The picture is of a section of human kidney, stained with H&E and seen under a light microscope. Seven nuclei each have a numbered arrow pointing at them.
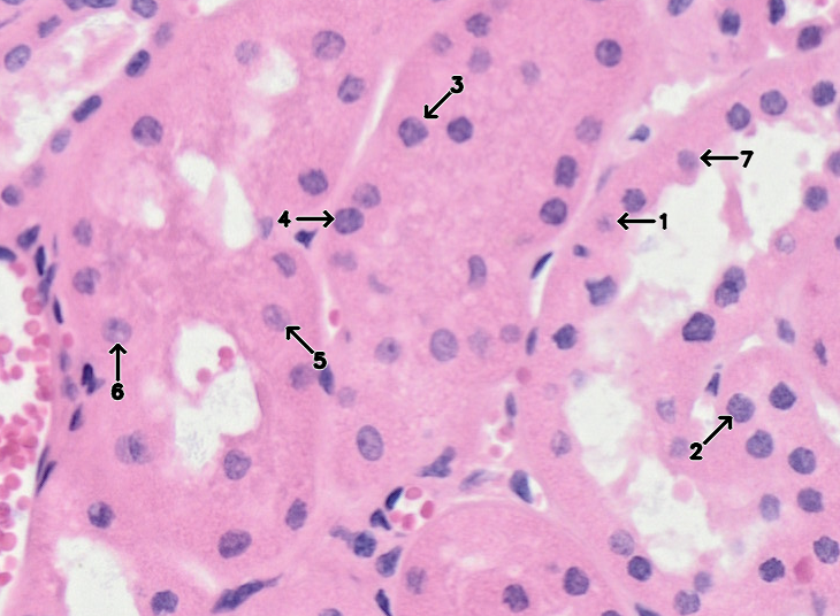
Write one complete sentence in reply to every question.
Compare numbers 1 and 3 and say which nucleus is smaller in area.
With nucleus 3 about 2 times its size, nucleus 1 is the smaller of the two.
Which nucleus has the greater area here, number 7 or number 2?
Of the two, number 2 is bigger and takes up about 2 times the area of number 7.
